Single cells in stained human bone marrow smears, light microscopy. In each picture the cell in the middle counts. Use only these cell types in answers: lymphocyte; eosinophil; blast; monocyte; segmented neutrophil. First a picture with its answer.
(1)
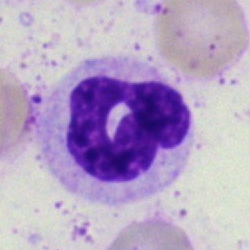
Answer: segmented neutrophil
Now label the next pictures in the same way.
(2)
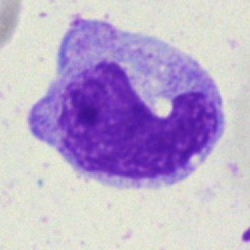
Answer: monocyte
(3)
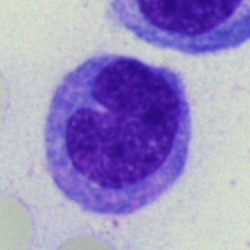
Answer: monocyte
